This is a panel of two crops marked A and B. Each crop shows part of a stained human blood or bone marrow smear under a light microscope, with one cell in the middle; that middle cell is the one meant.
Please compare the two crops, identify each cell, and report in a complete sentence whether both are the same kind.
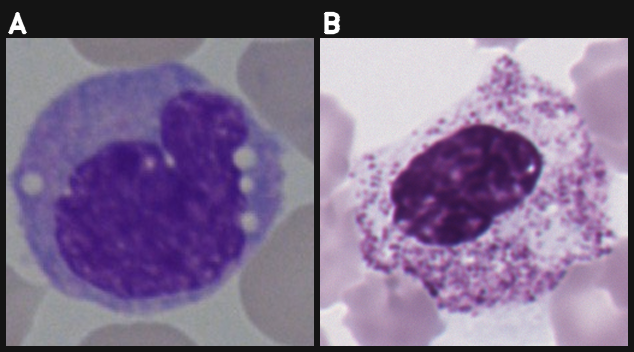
No, the cell that crop A shows is a monocyte, and the one crop B shows is a band neutrophil.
